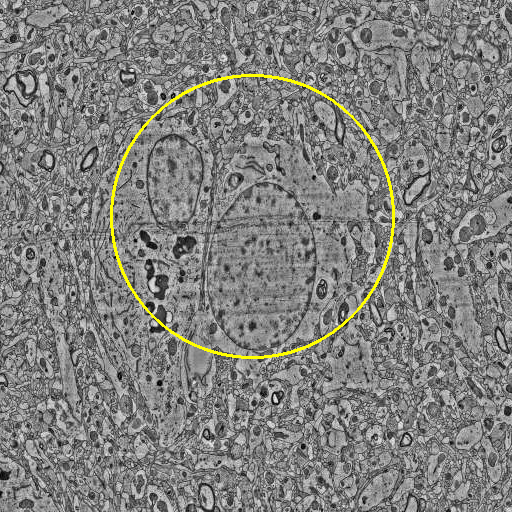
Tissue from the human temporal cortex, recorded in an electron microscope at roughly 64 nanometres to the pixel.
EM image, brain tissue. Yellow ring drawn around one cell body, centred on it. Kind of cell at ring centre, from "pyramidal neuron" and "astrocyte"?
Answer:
astrocyte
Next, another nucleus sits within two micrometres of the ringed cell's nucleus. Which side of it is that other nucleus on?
That other nucleus appears to the upper left of it.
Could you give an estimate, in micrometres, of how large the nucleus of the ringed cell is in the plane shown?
In this plane, the nucleus of the cell at the centre of the ring measures about 11 by 7 micrometres.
